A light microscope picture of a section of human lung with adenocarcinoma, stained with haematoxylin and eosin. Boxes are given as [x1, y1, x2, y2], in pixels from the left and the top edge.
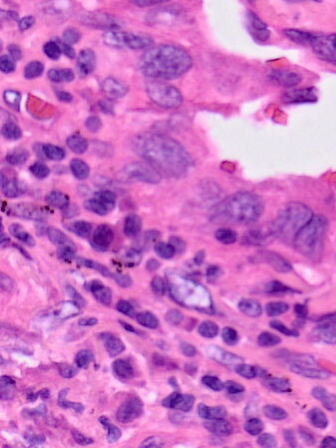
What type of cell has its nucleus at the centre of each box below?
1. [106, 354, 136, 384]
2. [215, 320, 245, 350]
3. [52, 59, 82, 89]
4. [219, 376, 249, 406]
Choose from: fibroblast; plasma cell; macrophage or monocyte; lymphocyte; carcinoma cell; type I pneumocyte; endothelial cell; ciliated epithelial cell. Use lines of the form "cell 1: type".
cell 1: plasma cell
cell 2: lymphocyte
cell 3: lymphocyte
cell 4: lymphocyte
